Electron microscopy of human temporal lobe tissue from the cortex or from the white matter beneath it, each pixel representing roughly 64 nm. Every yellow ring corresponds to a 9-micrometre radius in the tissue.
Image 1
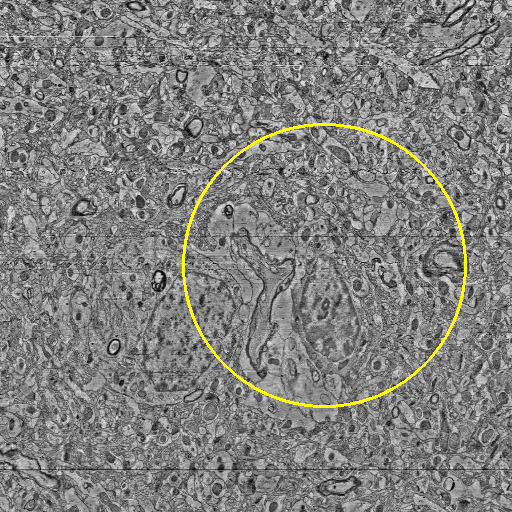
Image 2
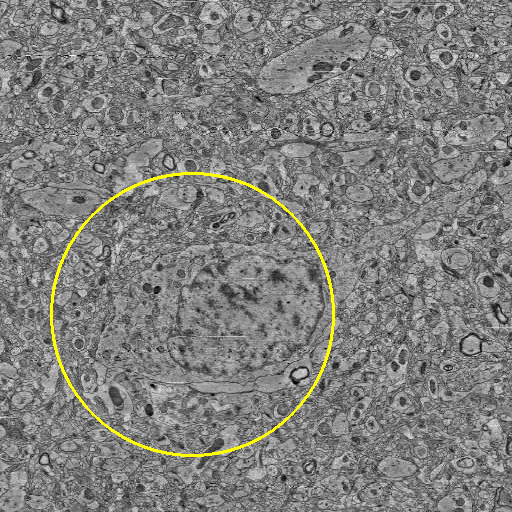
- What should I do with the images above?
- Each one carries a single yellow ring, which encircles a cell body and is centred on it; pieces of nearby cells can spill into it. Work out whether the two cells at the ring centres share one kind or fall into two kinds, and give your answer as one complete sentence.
The ring-centre cells of Image 1 and Image 2 fall into two kinds.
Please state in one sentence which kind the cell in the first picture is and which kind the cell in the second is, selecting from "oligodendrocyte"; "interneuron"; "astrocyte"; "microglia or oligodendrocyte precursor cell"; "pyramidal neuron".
The first ringed cell is an oligodendrocyte, the second ringed cell an interneuron.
